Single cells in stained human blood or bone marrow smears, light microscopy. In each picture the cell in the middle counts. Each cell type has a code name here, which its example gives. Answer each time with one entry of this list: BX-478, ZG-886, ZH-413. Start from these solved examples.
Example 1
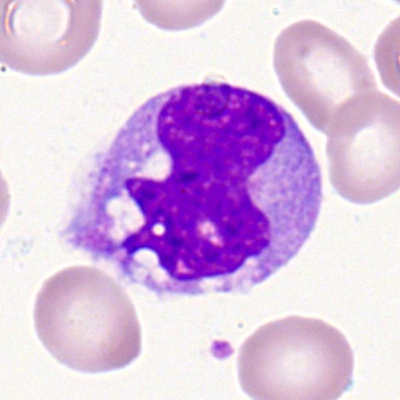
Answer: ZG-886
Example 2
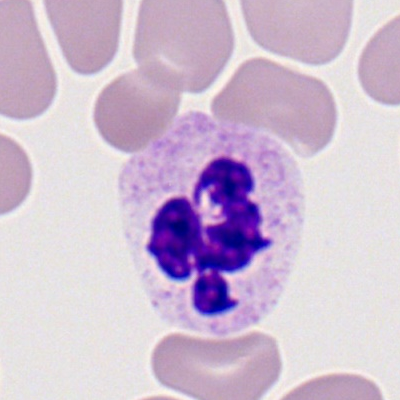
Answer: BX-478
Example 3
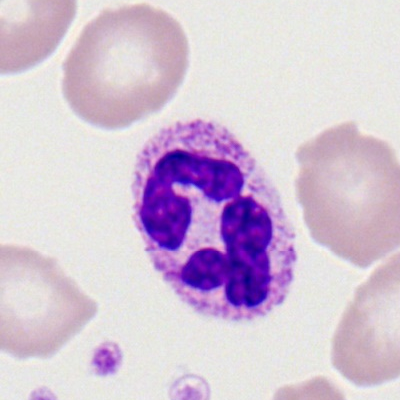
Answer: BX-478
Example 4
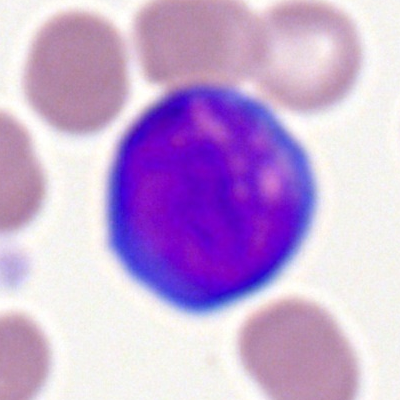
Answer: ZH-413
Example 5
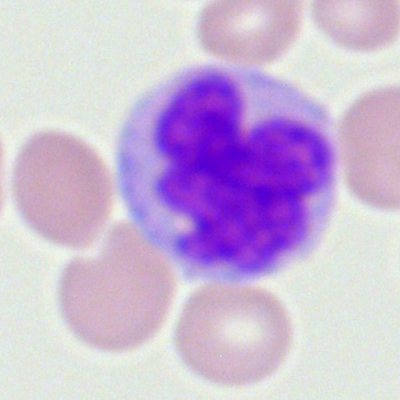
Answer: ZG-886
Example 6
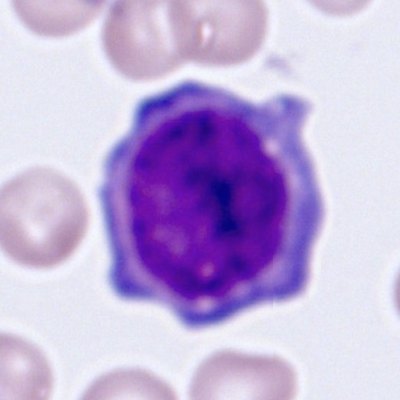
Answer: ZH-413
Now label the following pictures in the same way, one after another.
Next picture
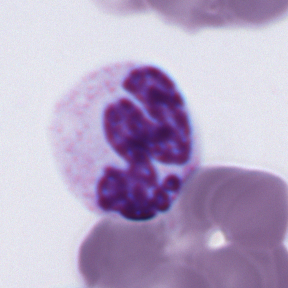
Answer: BX-478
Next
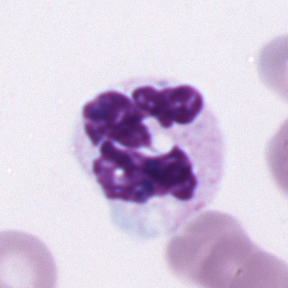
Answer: BX-478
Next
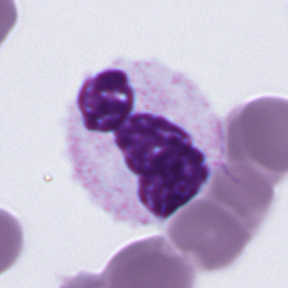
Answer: BX-478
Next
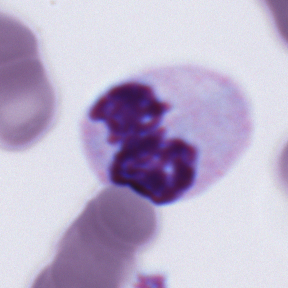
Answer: BX-478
